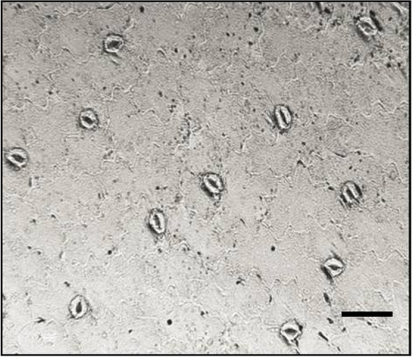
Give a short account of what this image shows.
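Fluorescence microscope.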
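This is a surface view of the leaf epidermis, with stomata spaced well apart over a pale field. The walls of the surrounding pavement cells show as faint, wavy lines. Small dark specks are scattered across the surface. The stomata point in different directions and are not arranged in any regular pattern.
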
